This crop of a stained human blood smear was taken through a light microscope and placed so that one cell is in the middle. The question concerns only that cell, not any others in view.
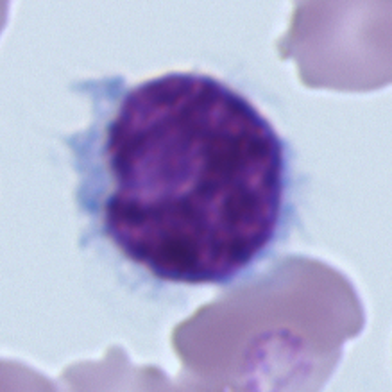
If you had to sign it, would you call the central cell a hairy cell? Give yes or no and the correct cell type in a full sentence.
Yes, the centered cell in this field is a hairy cell.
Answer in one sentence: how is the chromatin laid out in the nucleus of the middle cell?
The chromatin in this nucleus is coarsely clumped.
